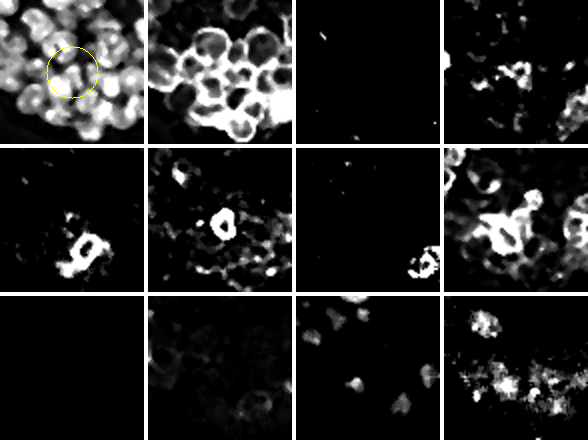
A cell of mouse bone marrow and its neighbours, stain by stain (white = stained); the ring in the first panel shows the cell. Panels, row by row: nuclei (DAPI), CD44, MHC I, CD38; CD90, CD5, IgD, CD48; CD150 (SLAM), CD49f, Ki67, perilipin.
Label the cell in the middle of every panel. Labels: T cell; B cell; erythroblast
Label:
T cell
